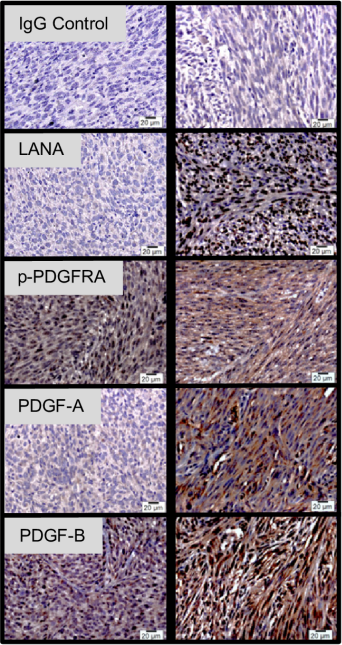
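This grid shows sections of a densely cellular tumor tissue made of elongated, spindle-shaped cells, two columns side by side and five rows of stains. Throughout, the cells lie in closely packed, streaming bundles, and their oval to elongated nuclei are counterstained blue. In the top row, nuclei are blue and no brown stain is seen. In one row, brown dots fill many nuclei in the right-hand column but not in the left.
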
